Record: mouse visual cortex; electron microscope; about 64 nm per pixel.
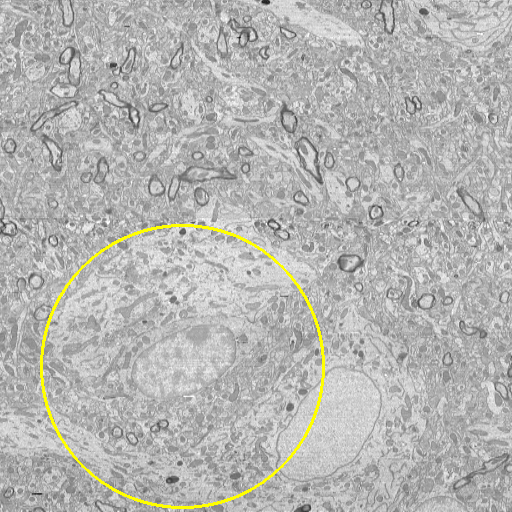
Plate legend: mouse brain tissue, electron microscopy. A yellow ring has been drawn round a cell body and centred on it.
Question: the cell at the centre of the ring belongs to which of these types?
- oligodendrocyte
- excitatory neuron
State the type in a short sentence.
The cell in the middle of the ring is an oligodendrocyte.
